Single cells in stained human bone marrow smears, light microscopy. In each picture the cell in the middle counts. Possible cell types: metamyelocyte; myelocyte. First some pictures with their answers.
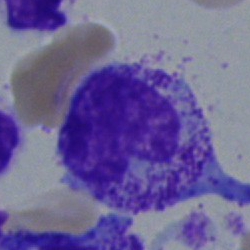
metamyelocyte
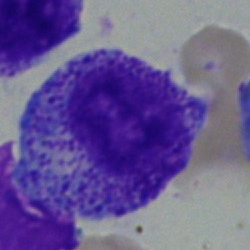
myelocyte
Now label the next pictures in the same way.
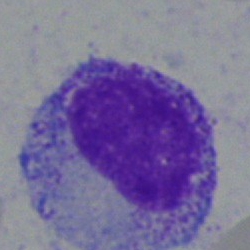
myelocyte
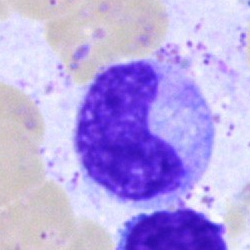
metamyelocyte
